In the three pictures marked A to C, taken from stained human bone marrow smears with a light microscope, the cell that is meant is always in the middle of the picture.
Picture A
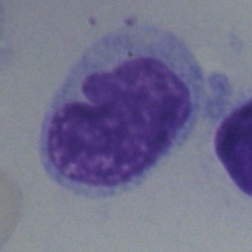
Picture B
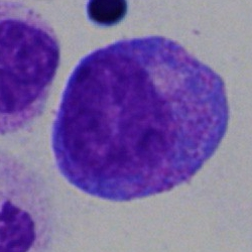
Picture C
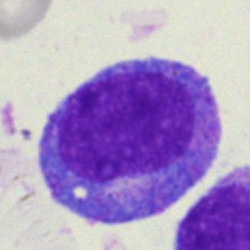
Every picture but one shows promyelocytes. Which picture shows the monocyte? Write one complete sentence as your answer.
The cell in picture A is the monocyte.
